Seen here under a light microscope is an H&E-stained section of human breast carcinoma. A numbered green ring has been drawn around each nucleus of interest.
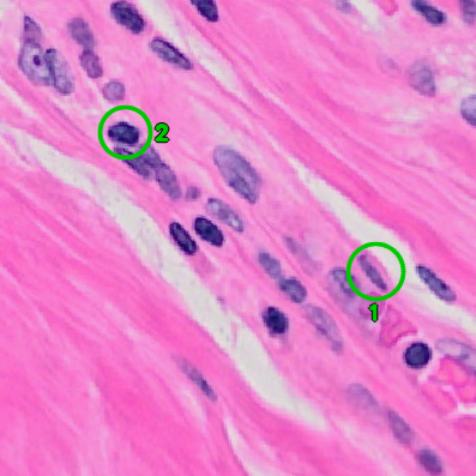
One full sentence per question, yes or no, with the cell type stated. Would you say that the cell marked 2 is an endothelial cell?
No, the cell denoted 2 is a lymphocyte rather than an endothelial cell.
